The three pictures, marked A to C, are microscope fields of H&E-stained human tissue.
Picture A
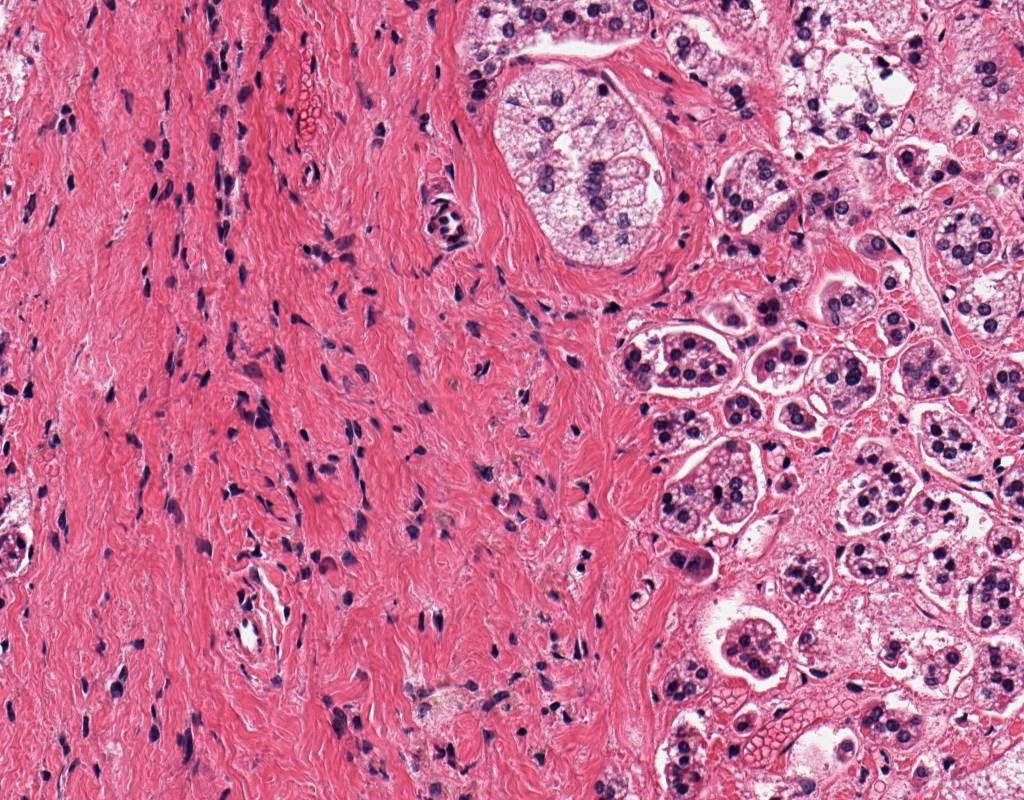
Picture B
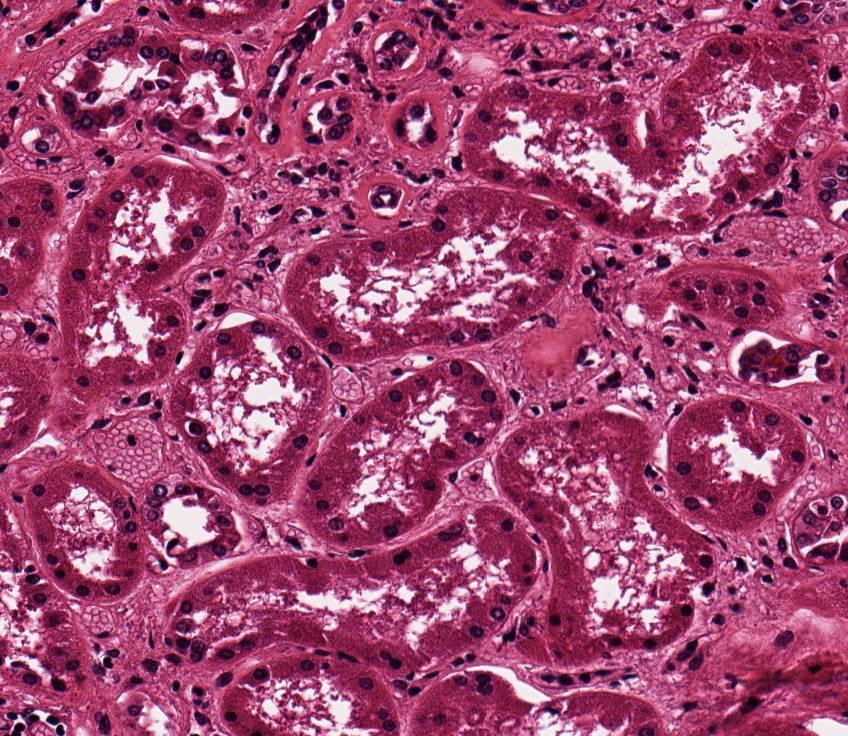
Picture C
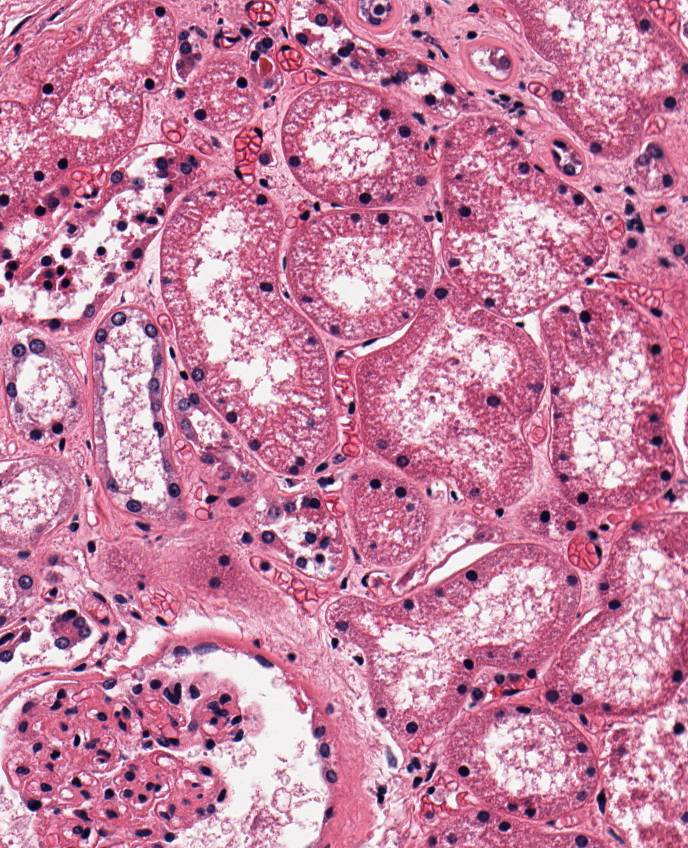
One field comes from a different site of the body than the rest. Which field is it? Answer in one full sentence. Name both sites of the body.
Picture A is the odd one out: it comes from the adrenal gland, while the others come from the renal cortex.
